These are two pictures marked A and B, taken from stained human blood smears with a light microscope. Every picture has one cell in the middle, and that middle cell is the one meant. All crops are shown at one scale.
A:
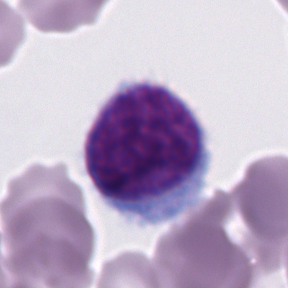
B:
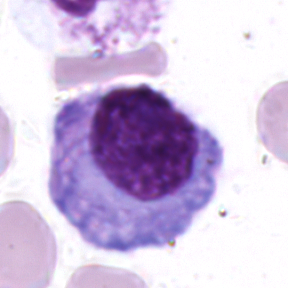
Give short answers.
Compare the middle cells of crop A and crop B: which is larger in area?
B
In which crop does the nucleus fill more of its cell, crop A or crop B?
A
